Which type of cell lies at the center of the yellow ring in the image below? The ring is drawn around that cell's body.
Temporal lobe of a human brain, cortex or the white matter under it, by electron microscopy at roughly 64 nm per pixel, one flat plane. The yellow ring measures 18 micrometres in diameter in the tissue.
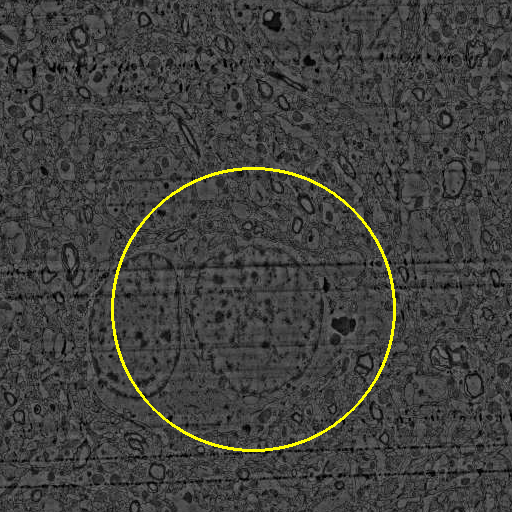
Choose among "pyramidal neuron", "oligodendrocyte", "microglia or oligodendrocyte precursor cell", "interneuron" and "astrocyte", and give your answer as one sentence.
The cell body at the center belongs to an interneuron.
